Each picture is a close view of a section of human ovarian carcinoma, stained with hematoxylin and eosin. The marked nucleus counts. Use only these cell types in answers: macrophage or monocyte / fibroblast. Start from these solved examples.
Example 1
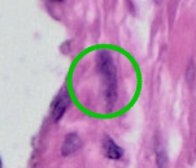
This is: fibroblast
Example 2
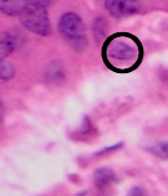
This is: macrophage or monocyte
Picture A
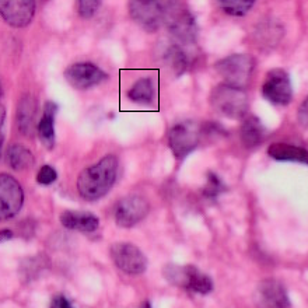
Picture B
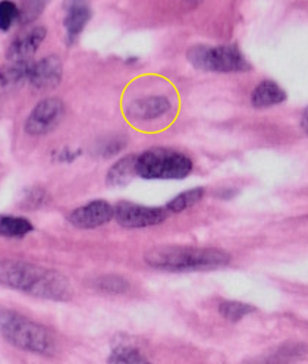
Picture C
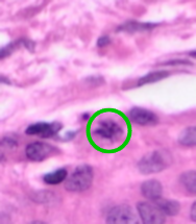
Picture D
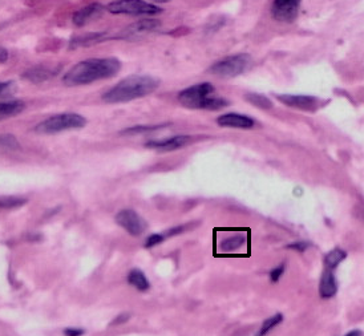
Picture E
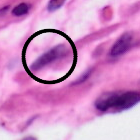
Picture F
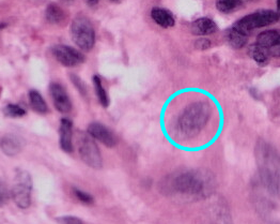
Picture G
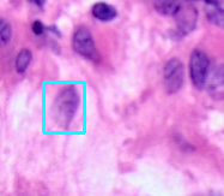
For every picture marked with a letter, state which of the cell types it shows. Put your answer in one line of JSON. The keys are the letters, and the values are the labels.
{"A": "macrophage or monocyte", "B": "fibroblast", "C": "macrophage or monocyte", "D": "fibroblast", "E": "fibroblast", "F": "fibroblast", "G": "fibroblast"}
